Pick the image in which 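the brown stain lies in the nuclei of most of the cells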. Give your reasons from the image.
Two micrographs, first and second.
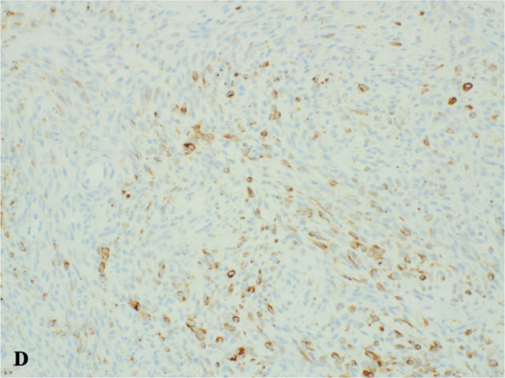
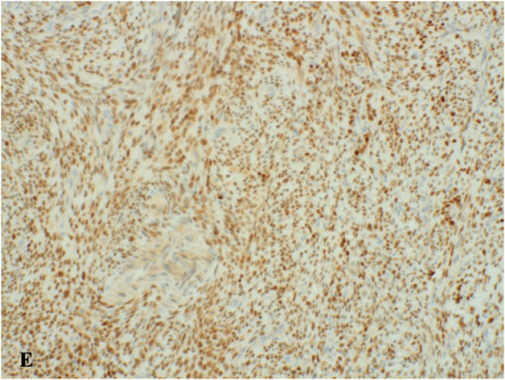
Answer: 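Second image: most nuclei across the field are stained brown. First image: only scattered cells show brown stain in their cytoplasm, most nuclei are blue. That points to this answer: the second image.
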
